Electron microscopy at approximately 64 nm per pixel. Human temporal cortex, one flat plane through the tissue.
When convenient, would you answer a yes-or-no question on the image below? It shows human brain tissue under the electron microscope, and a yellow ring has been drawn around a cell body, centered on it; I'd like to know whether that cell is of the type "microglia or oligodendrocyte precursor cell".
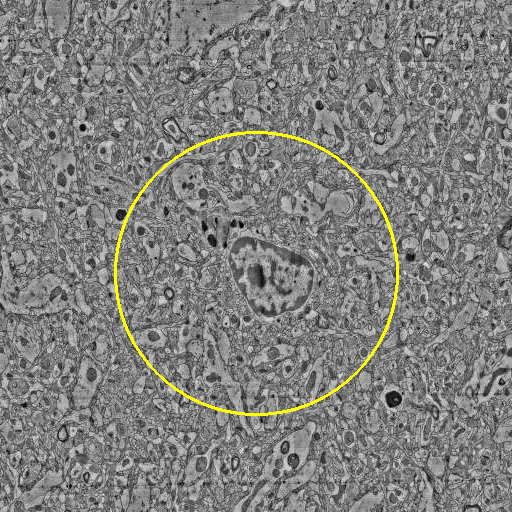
yes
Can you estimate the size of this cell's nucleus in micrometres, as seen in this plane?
About 6 micrometres by about 4 micrometres in this plane.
